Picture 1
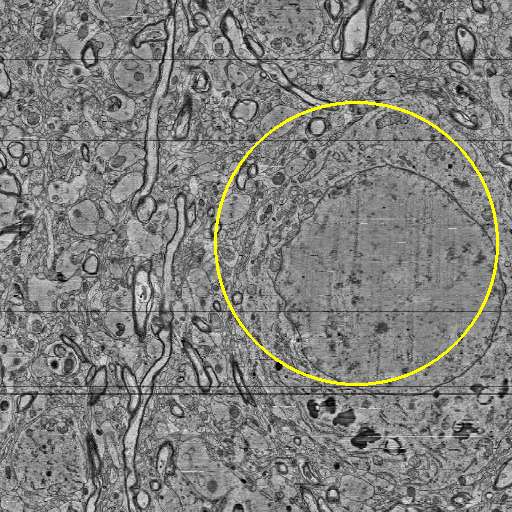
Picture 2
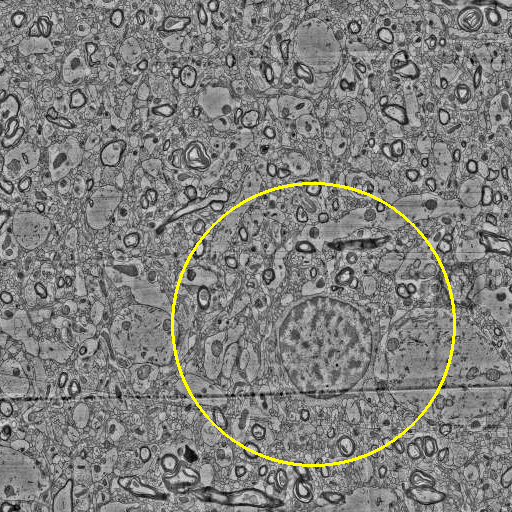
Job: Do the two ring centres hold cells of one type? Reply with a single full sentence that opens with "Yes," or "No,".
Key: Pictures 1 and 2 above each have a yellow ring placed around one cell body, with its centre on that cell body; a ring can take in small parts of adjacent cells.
No, the cells at the two ring centres are of two separate types.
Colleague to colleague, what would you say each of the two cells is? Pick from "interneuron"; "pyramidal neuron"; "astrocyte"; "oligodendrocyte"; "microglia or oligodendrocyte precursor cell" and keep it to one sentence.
The cell in the first picture is a pyramidal neuron; the second picture's cell is an oligodendrocyte.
